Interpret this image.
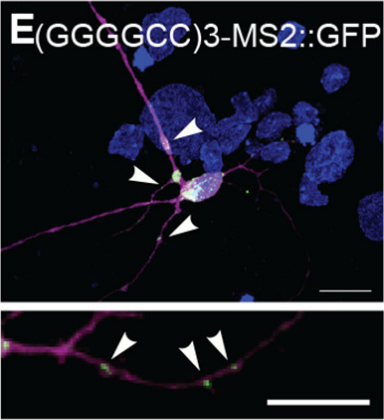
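Cultured neuron, filled in magenta, lying among many unlabelled cells whose oval blue nuclei crowd the field. The labelled cell body is small, with its nucleus showing green and blue. Several long, thin magenta processes radiate from it and branch, running far across the field. Discrete small green dots sit along the processes, some near the cell body and others farther out; the enlarged lower strip shows a thin process carrying several such puncta spaced along its length.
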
